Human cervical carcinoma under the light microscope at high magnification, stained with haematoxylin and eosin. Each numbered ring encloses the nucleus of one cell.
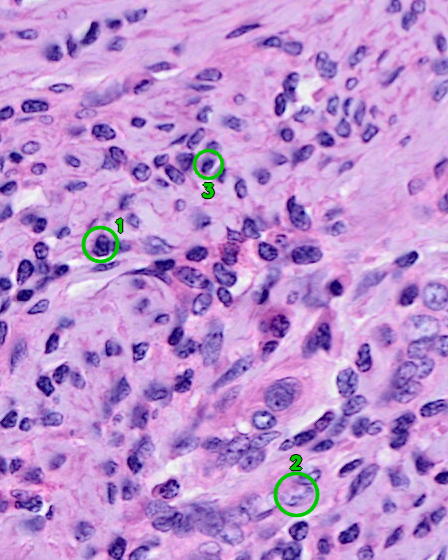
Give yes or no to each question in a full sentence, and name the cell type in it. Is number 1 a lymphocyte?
Yes, so the cell at label 1 is a lymphocyte.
